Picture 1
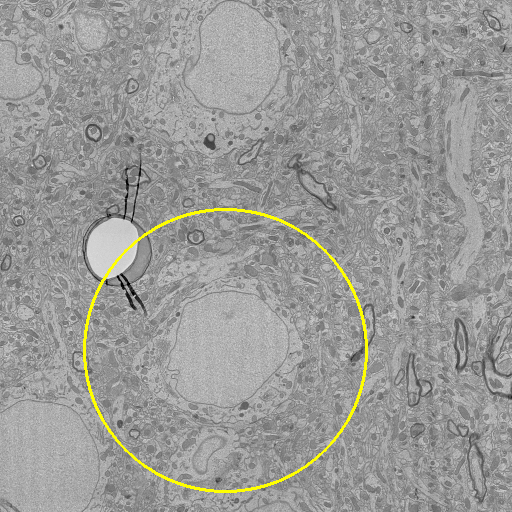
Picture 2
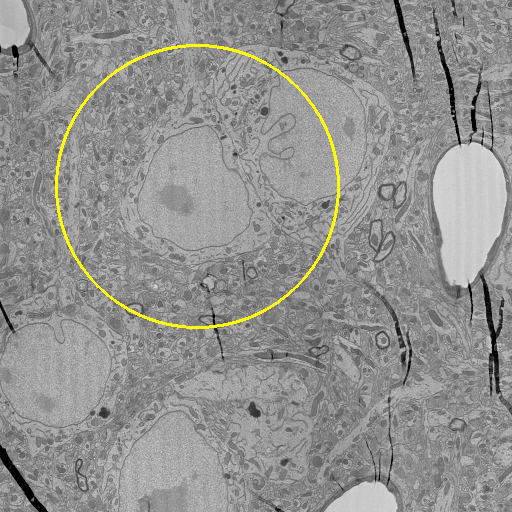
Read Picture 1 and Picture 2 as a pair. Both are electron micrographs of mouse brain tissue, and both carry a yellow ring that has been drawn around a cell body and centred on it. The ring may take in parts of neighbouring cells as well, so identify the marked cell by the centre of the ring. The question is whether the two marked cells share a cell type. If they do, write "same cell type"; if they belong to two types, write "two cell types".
same cell type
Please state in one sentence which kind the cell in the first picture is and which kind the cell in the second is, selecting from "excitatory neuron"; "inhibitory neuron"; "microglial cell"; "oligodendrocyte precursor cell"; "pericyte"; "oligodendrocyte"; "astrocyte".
Each cell at the centre of a ring is an excitatory neuron.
